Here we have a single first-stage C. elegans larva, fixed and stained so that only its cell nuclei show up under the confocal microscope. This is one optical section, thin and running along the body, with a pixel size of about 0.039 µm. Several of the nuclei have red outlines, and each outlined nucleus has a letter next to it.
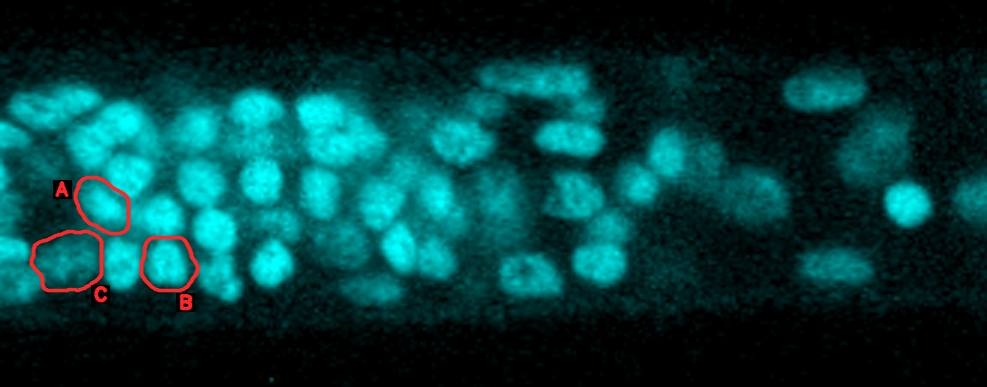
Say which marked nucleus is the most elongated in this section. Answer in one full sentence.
A is the most elongated.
